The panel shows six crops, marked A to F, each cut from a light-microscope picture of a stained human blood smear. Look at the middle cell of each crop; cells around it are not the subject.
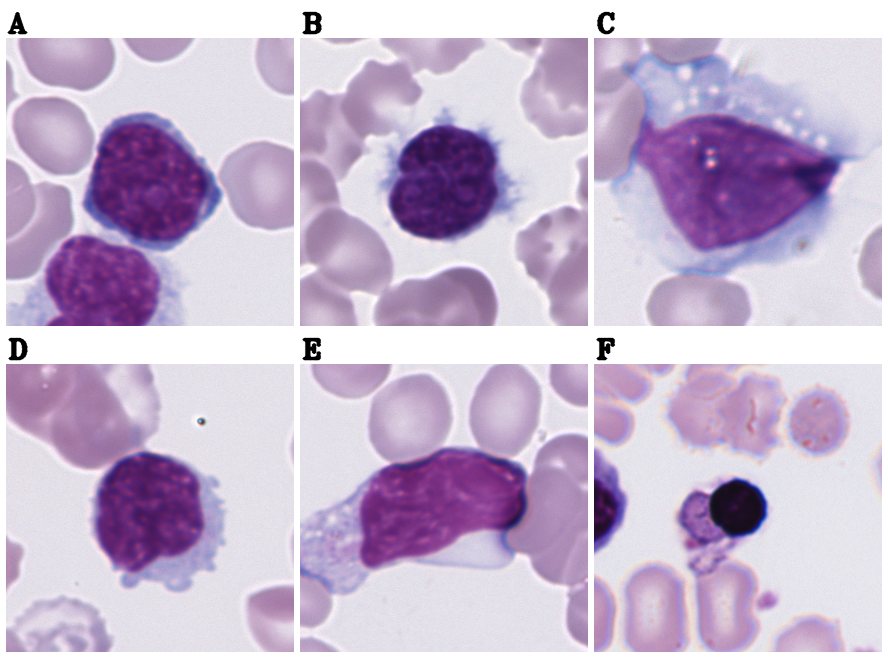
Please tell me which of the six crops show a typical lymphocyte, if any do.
A, D, E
